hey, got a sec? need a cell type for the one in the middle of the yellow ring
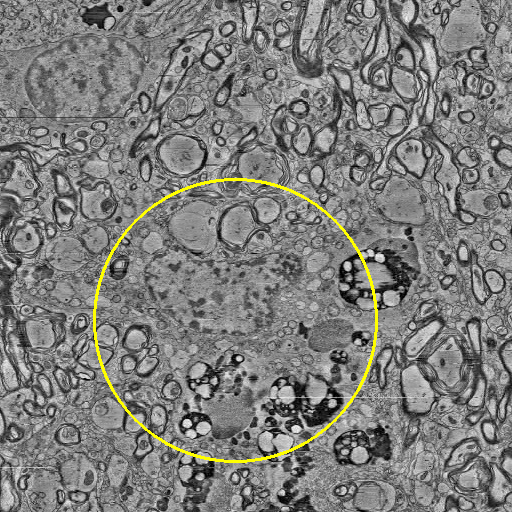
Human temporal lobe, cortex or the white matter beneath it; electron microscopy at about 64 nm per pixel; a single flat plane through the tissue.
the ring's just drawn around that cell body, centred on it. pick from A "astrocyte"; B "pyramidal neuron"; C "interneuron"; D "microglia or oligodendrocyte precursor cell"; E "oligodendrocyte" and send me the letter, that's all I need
A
